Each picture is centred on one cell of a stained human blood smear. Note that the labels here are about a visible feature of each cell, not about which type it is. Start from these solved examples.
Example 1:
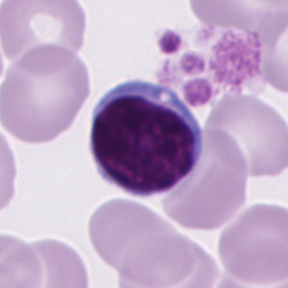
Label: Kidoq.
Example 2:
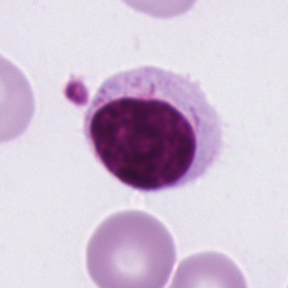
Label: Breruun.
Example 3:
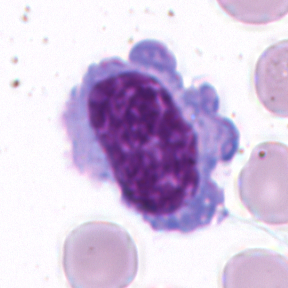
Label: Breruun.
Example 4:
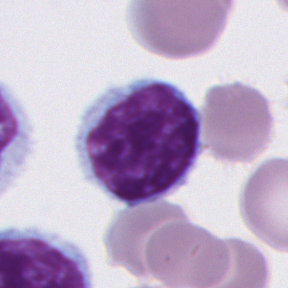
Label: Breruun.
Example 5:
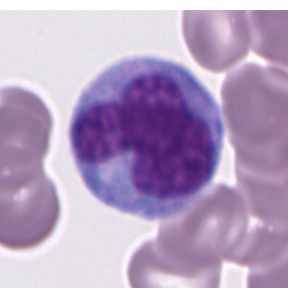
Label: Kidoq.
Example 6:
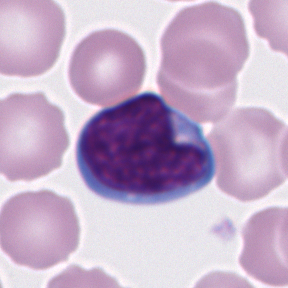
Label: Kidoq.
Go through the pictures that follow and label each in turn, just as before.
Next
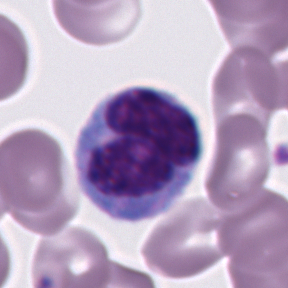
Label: Kidoq.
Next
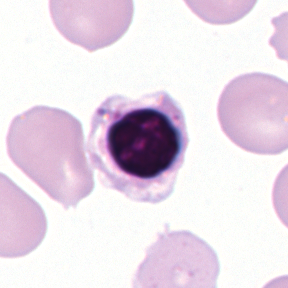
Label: Breruun.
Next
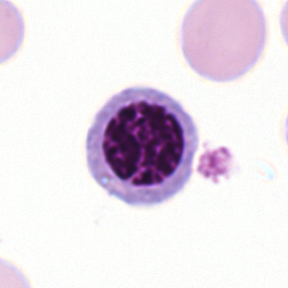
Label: Kidoq.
